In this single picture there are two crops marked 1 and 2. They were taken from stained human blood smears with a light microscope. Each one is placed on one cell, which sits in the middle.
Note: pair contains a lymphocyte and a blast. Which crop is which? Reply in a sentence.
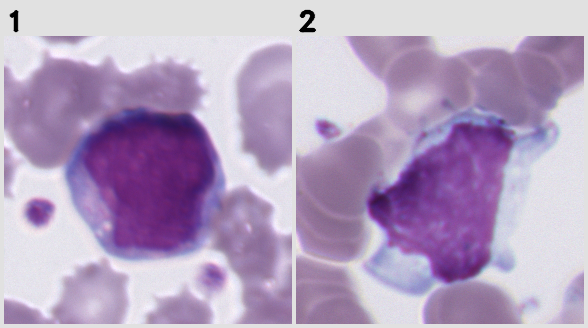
Crop 1 is a blast, and crop 2 is a lymphocyte.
